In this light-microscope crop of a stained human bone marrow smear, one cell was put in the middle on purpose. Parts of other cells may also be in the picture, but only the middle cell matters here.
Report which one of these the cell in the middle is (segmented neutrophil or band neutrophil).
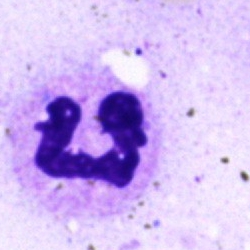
segmented neutrophil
